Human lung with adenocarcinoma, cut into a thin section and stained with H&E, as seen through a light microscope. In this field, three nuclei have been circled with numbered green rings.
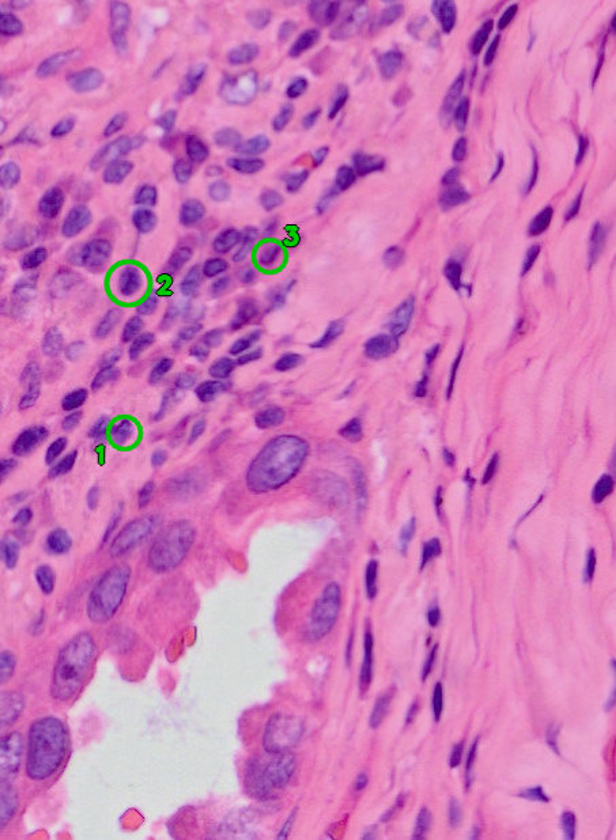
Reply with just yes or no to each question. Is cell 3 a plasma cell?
yes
